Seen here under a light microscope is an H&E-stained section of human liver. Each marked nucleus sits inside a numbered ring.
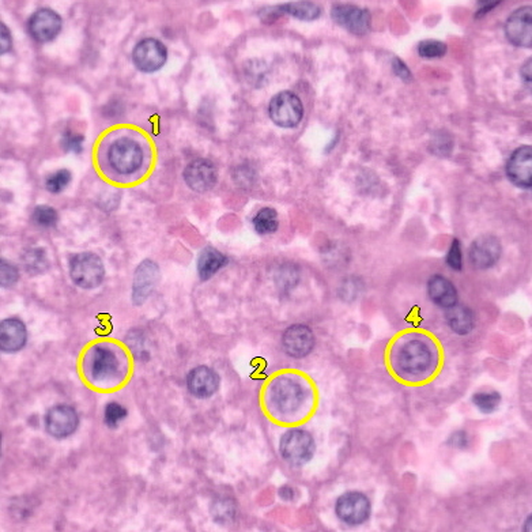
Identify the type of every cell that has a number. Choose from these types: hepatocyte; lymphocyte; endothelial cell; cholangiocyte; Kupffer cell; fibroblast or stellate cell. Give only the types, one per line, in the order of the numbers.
hepatocyte
hepatocyte
endothelial cell
hepatocyte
